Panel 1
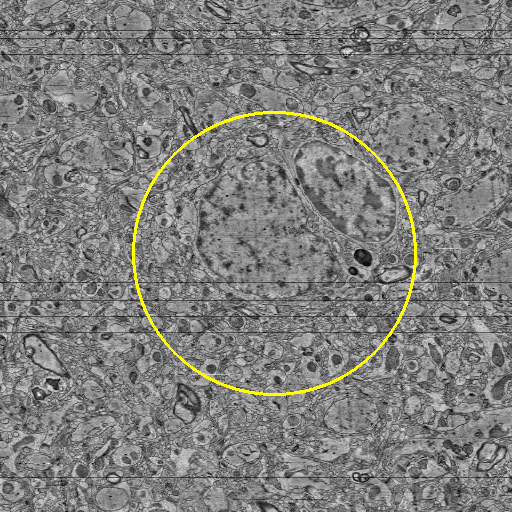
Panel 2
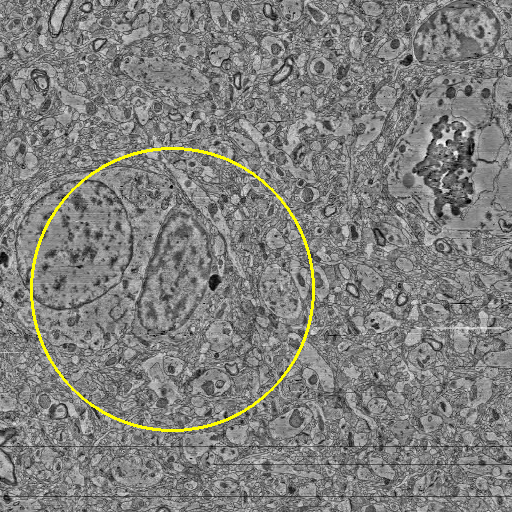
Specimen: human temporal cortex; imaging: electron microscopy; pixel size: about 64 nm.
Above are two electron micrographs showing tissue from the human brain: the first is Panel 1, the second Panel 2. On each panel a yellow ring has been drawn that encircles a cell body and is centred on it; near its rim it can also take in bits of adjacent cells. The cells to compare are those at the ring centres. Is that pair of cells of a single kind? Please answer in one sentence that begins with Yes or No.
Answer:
No, the ring-centred cells of Panel 1 and Panel 2 belong to two kinds.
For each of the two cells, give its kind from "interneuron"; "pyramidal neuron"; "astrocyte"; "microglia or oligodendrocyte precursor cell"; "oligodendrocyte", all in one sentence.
The first picture has an interneuron in its ring, the second has an oligodendrocyte.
